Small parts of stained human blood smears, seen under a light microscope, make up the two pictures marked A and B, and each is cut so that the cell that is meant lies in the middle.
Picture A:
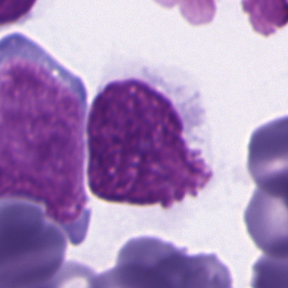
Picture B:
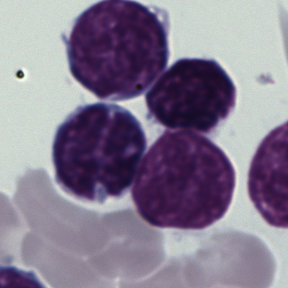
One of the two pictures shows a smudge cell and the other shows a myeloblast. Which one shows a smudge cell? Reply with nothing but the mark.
A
